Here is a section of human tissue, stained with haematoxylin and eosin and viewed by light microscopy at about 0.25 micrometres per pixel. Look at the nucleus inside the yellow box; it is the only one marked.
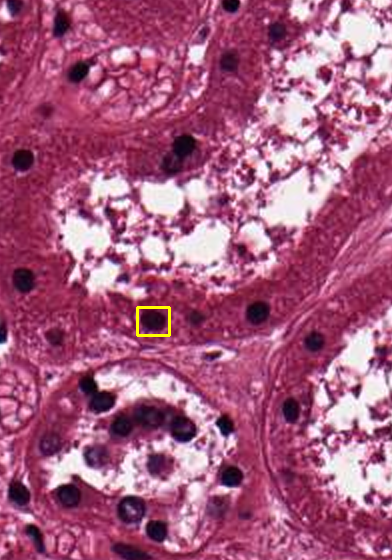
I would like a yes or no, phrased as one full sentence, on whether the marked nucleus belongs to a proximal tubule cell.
Yes, in this image it is a proximal tubule cell that contains the marked nucleus.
